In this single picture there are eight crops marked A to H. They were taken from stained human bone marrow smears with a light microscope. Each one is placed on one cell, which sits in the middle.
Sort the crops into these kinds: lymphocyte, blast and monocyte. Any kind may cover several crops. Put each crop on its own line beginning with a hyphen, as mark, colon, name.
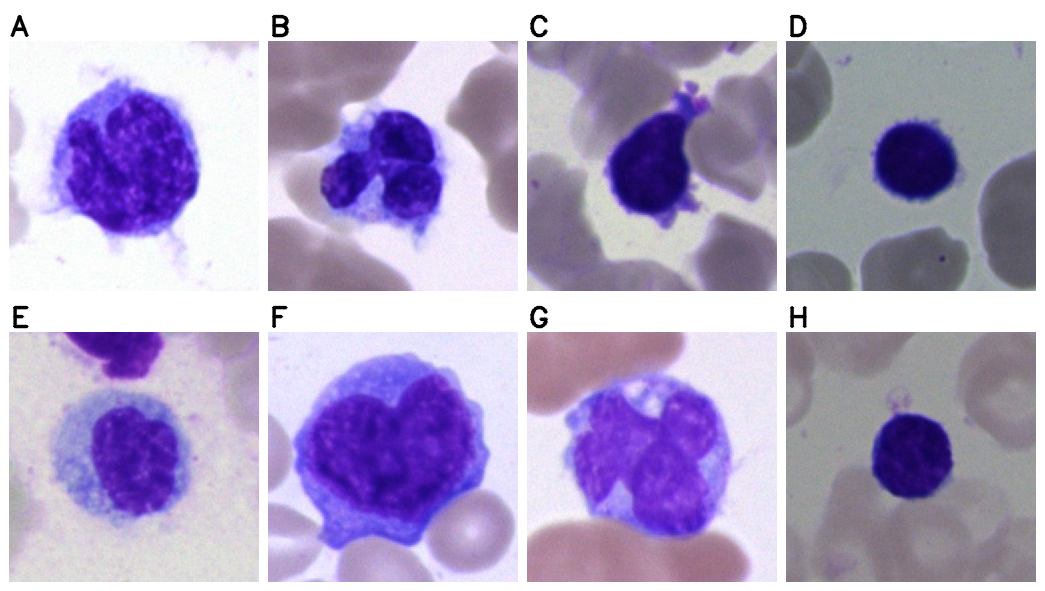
- A: monocyte
- B: monocyte
- C: lymphocyte
- D: lymphocyte
- E: monocyte
- F: blast
- G: monocyte
- H: lymphocyte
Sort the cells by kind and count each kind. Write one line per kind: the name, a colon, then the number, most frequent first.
monocyte: 4
lymphocyte: 3
blast: 1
